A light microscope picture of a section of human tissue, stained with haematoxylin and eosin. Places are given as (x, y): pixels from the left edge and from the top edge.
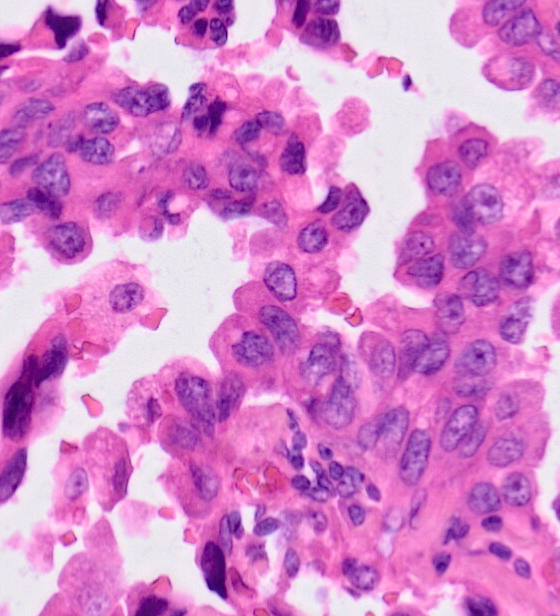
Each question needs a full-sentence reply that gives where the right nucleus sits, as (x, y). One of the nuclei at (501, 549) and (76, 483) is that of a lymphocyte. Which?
The nucleus lying at (501, 549) is the nucleus of a lymphocyte.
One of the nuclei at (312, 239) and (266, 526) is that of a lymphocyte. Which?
The nucleus at (266, 526) is attributed to a lymphocyte, unlike the other nucleus.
